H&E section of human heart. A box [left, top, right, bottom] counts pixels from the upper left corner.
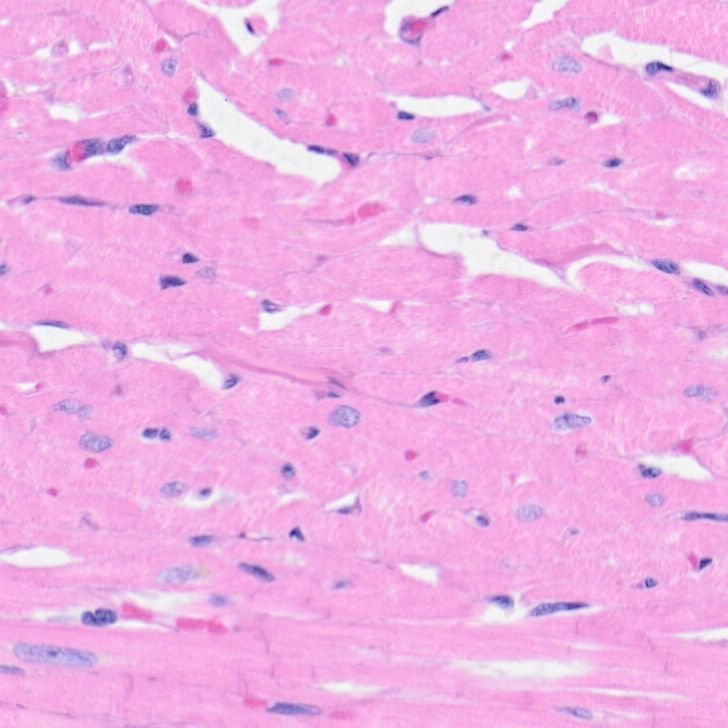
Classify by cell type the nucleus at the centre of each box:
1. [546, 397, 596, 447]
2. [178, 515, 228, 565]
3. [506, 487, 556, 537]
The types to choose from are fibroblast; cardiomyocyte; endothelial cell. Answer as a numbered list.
1. cardiomyocyte
2. fibroblast
3. cardiomyocyte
